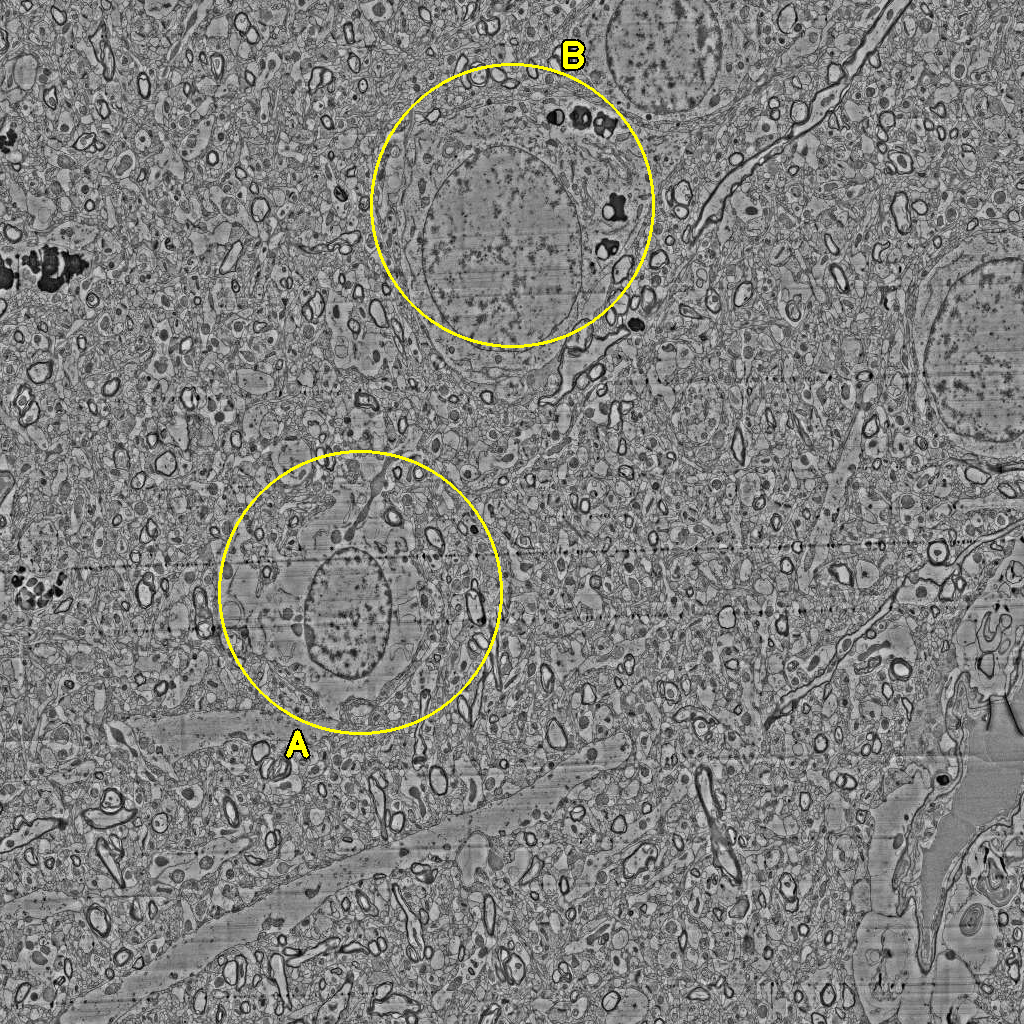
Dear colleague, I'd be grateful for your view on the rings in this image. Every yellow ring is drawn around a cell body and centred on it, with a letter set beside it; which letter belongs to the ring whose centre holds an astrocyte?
A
